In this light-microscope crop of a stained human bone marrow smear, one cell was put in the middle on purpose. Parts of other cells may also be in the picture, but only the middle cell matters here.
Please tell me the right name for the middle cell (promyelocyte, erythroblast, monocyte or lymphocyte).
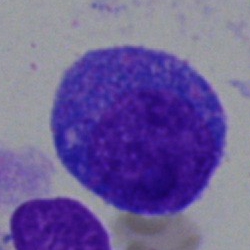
promyelocyte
